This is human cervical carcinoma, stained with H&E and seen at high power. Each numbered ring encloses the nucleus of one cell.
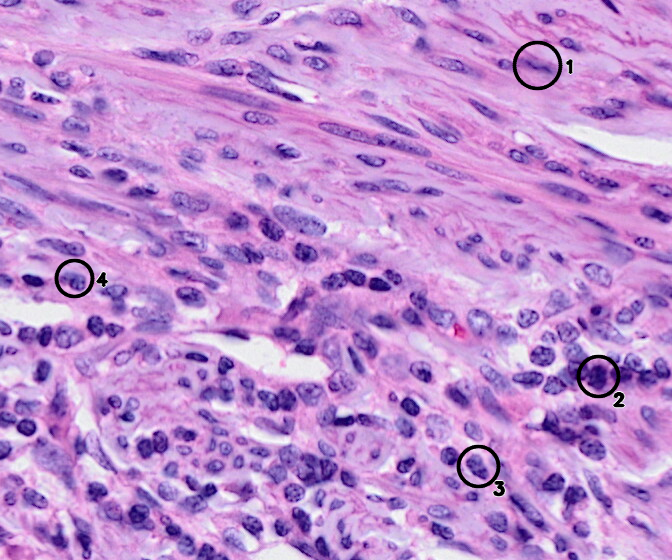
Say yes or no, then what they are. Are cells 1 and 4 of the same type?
No, cell number 1 is a smooth muscle cell, and cell number 4 is a lymphocyte.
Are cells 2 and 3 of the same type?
Yes, in this section cells 2 and 3 are both lymphocytes.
